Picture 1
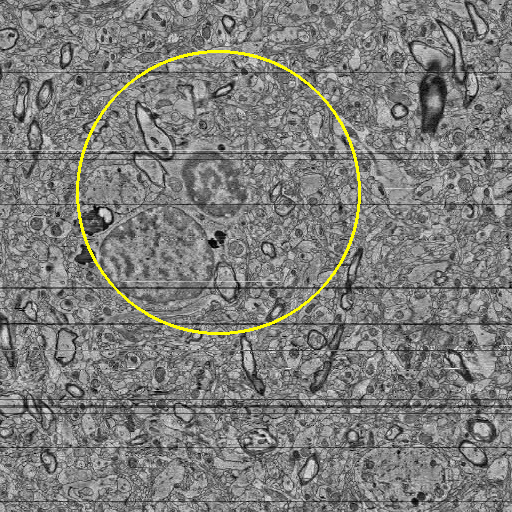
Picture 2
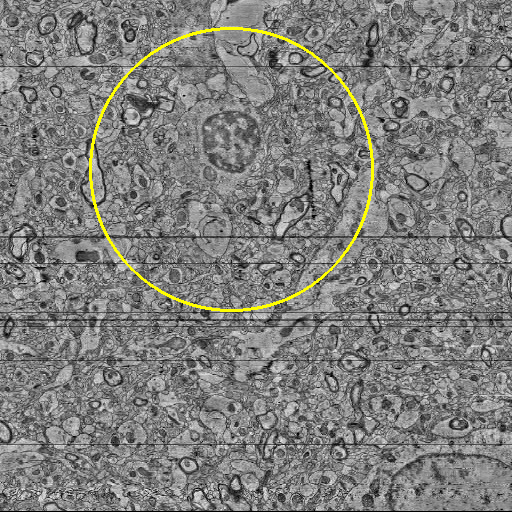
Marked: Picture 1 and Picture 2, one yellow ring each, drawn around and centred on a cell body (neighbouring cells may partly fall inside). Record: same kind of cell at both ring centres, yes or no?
yes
